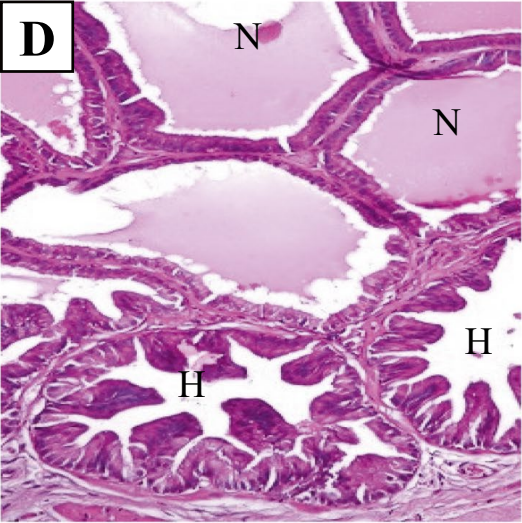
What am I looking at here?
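This prostate section shows two kinds of glands side by side: in the upper part wide acini full of pale pink secretion lined by a single tidy layer of columnar cells, and in the lower part glands whose epithelium is crowded, darkly stained and thrown into many tufts and folds that nearly fill the lumen. These lower glands have piled-up purple nuclei in a lining several cells thick, typical of high-grade prostatic intraepithelial neoplasia, while thin bands of stroma run between the glands.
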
